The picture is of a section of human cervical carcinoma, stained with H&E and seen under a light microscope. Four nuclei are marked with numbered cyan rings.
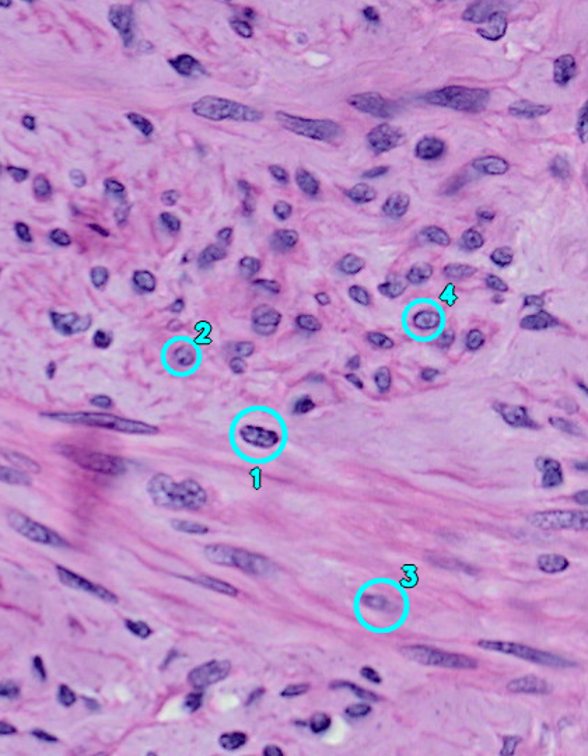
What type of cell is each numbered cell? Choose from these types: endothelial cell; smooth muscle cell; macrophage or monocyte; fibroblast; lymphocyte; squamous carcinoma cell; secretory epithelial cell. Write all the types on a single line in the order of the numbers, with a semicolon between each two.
lymphocyte; smooth muscle cell; smooth muscle cell; smooth muscle cell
